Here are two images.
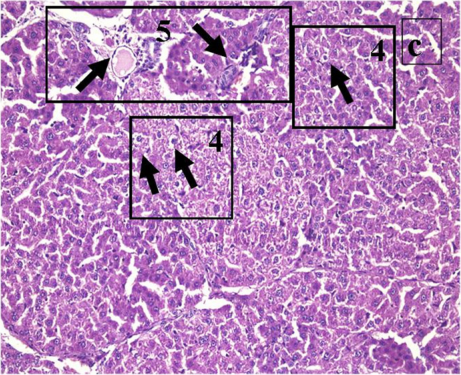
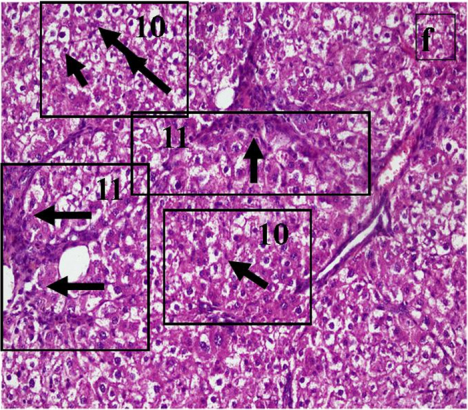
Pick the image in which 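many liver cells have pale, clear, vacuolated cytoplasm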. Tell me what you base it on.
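The second image. Second image: large areas of liver cells with pale, clear, bubbly cytoplasm. First image: liver cells are mostly pink with only scattered small vacuoles.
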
